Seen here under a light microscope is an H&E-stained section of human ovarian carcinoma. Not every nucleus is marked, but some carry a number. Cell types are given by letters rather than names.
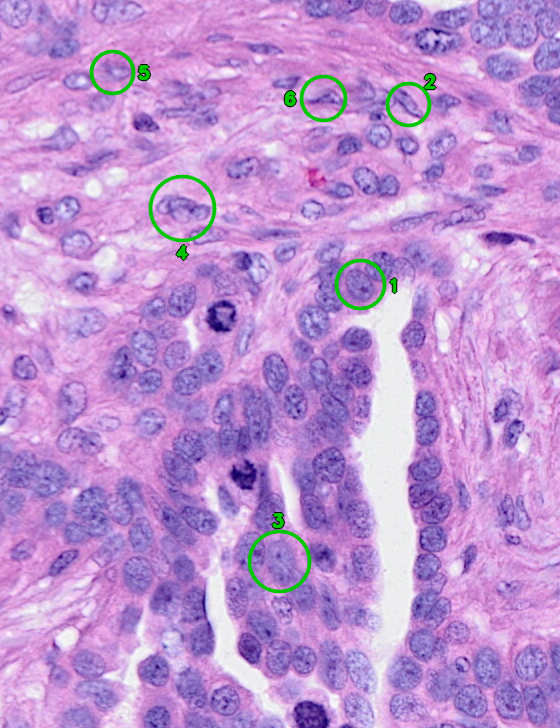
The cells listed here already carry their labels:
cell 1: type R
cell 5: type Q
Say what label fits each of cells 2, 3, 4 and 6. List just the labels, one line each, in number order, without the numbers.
type Q
type R
type Q
type Q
